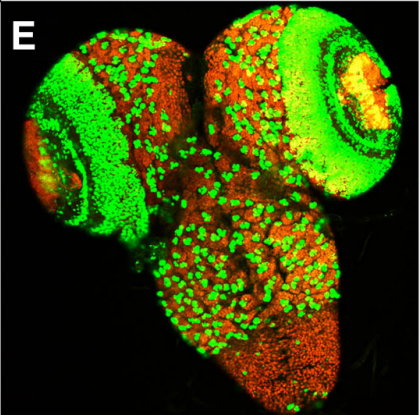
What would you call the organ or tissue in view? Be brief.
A: Larval brains.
